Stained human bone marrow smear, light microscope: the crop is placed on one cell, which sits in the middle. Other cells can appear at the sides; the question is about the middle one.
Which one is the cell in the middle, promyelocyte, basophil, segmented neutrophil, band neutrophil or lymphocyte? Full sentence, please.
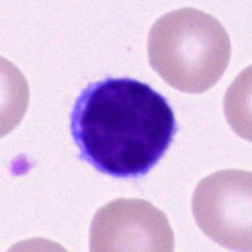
In the middle of this smear crop is a lymphocyte.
